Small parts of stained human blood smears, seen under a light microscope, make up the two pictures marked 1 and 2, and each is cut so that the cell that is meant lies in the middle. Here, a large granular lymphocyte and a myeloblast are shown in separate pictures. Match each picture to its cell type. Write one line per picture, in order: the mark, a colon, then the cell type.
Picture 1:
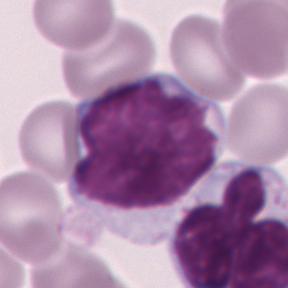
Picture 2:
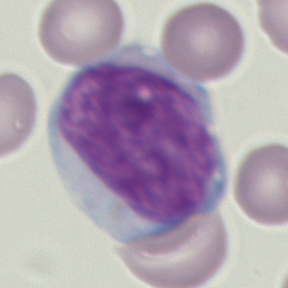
1: large granular lymphocyte
2: myeloblast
